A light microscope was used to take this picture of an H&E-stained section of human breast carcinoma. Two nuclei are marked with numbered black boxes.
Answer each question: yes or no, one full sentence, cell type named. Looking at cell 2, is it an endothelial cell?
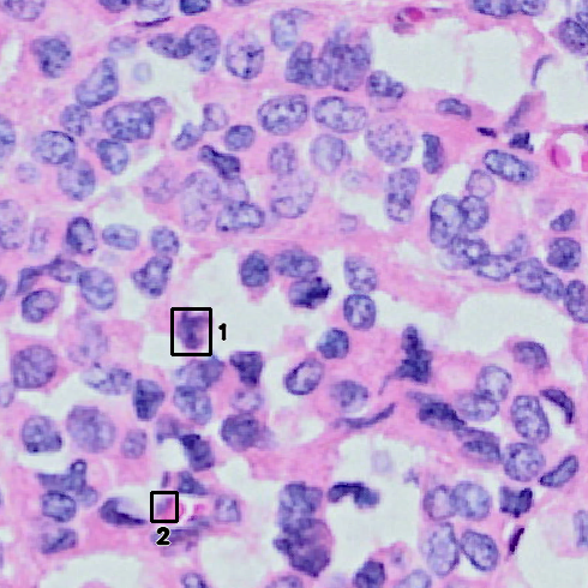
Yes, in this section the cell numbered 2 is an endothelial cell.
